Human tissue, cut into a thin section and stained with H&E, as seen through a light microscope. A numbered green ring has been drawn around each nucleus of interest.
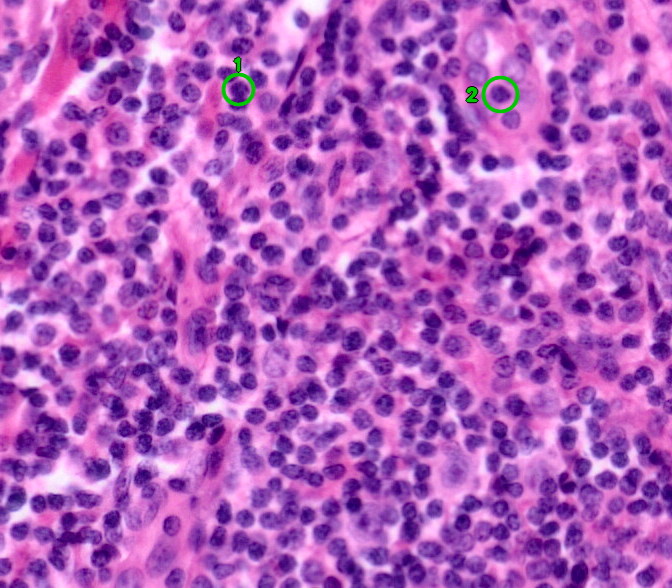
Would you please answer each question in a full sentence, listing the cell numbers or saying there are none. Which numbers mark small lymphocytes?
Nothing but cell 1 is a small lymphocyte among the numbered ones.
